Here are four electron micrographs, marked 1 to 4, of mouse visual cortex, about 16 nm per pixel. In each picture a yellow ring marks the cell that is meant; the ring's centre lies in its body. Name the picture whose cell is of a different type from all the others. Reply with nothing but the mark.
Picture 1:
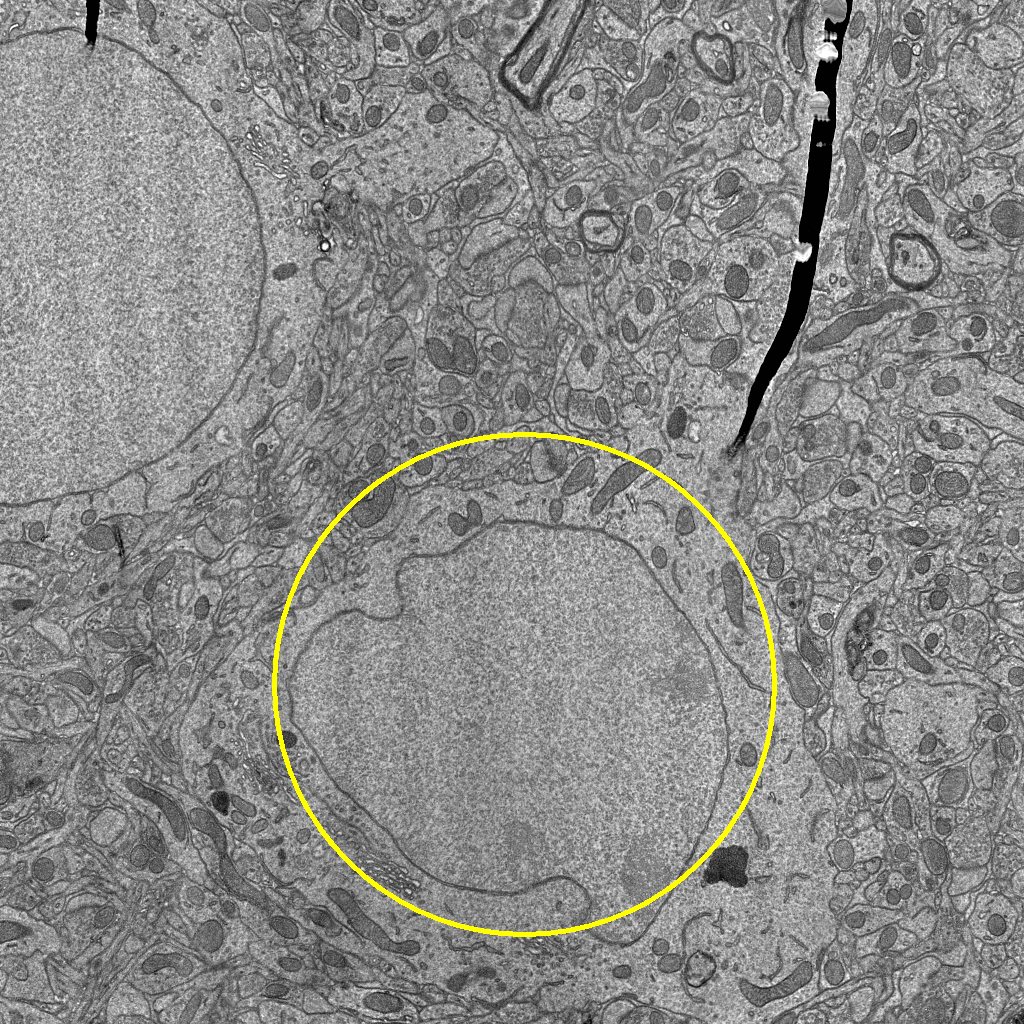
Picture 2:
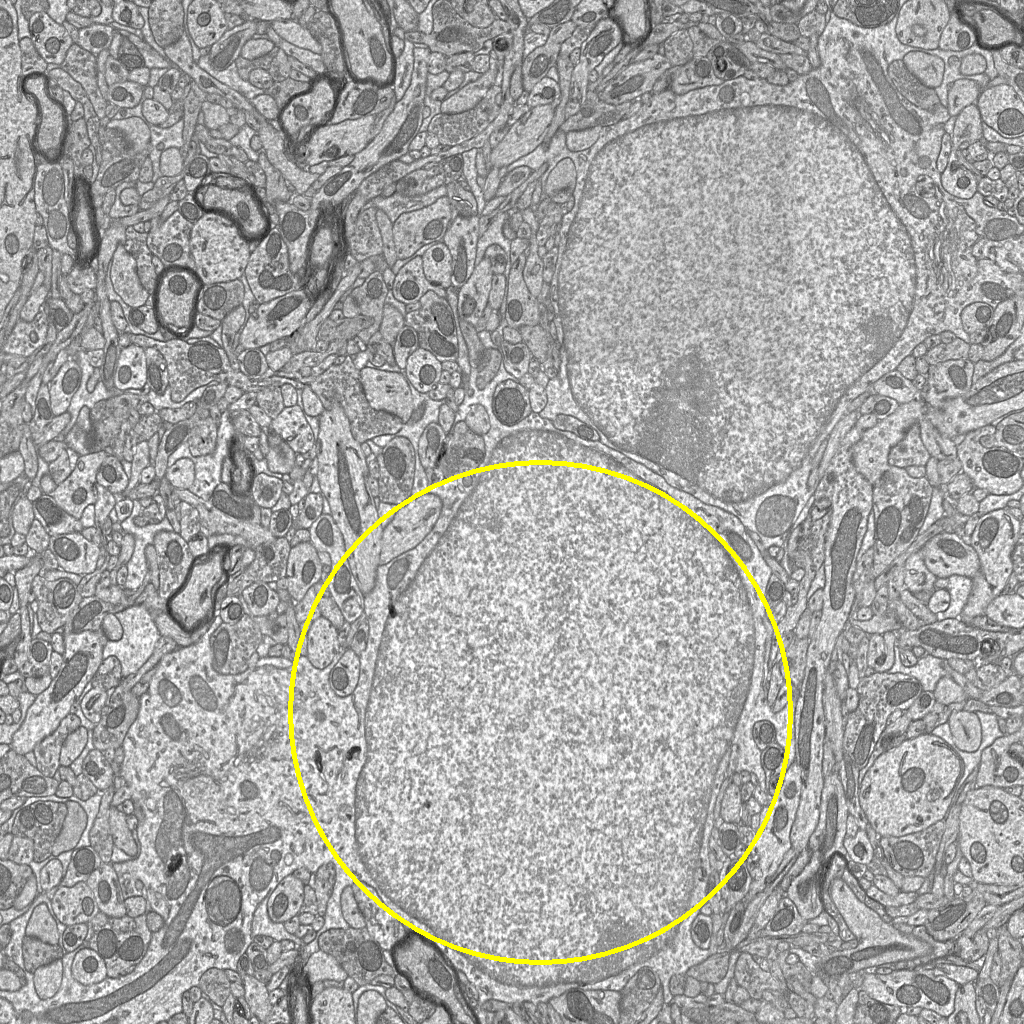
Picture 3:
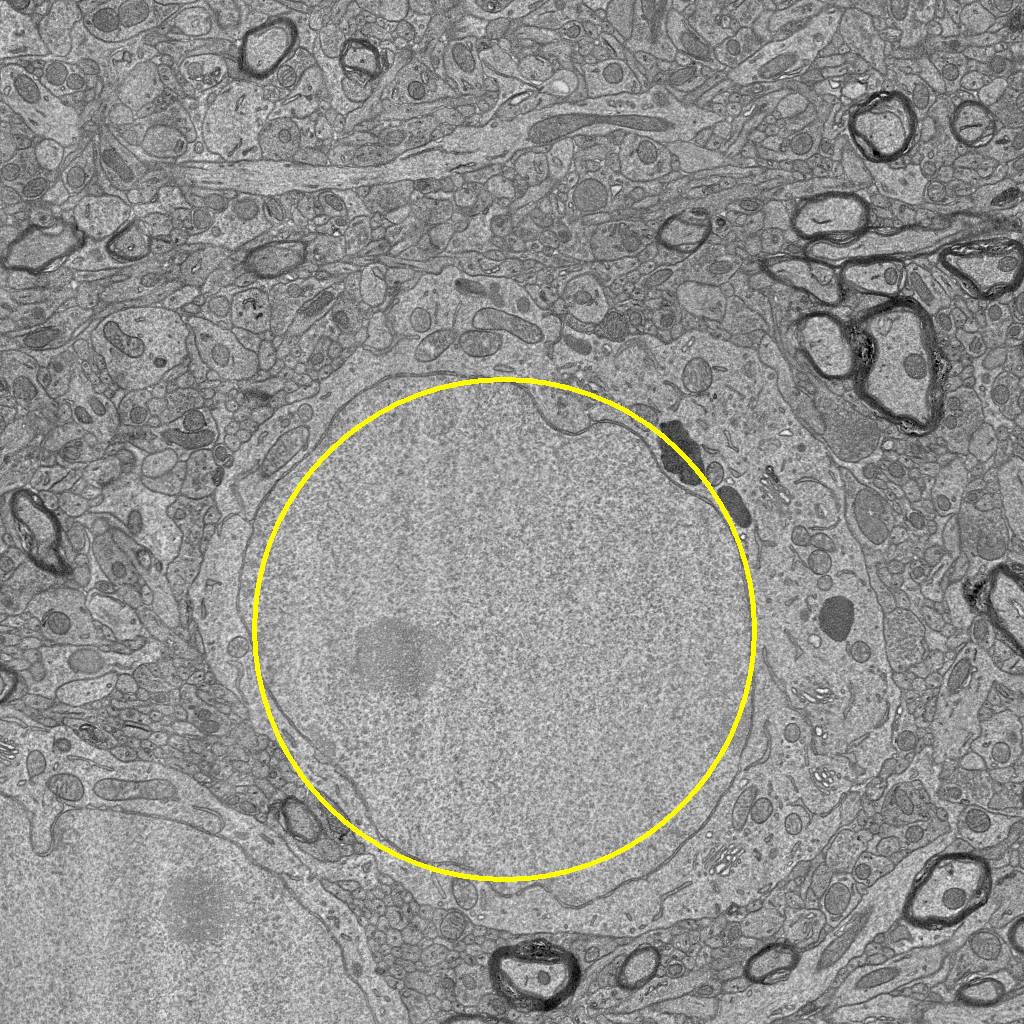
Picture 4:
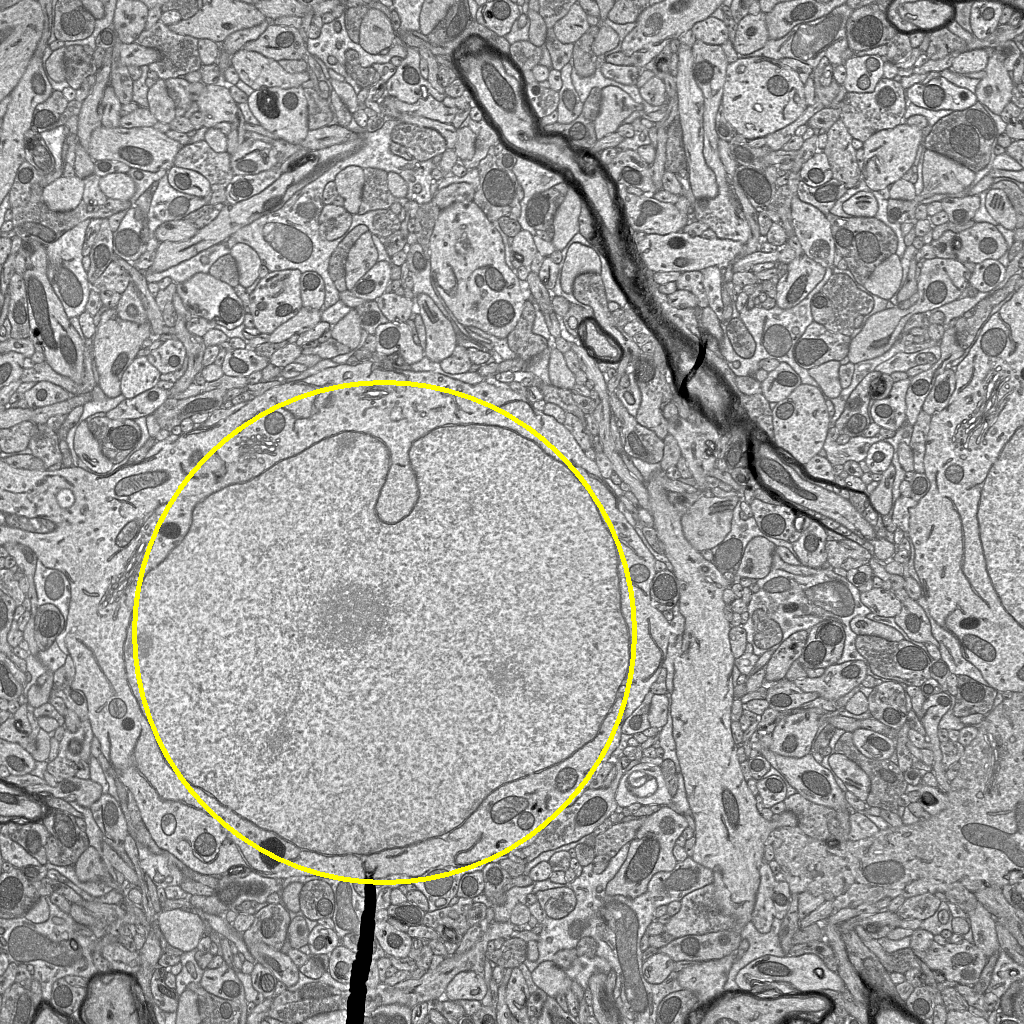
2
